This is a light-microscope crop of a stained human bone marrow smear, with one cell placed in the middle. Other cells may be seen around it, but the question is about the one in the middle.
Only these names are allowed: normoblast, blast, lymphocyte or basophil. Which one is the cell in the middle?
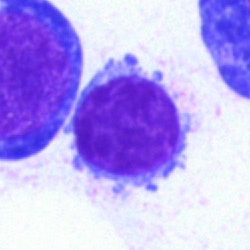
lymphocyte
